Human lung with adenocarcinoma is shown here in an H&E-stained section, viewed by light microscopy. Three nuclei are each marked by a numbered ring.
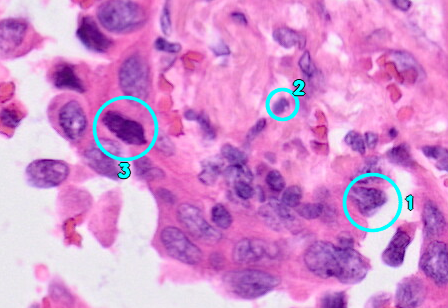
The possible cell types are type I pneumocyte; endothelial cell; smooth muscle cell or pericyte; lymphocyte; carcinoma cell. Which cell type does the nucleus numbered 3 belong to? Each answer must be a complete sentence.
The cell given label 3 is a carcinoma cell.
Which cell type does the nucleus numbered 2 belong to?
The cell that carries the label 2 is a lymphocyte.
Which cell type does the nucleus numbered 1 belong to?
Marked with the number 1, this cell is a carcinoma cell.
